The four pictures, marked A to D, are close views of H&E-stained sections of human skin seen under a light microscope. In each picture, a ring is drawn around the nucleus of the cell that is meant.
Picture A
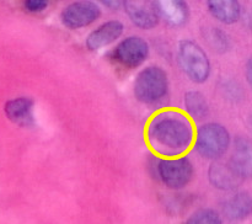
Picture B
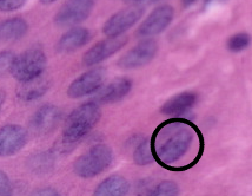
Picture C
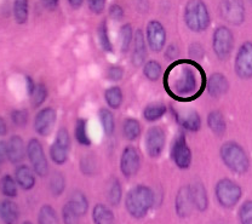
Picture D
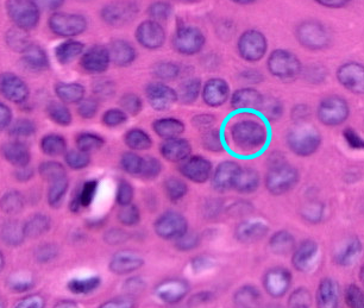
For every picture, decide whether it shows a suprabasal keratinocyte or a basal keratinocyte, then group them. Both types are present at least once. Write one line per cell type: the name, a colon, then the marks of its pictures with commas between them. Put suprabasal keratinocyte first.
suprabasal keratinocyte: D
basal keratinocyte: A, B, C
